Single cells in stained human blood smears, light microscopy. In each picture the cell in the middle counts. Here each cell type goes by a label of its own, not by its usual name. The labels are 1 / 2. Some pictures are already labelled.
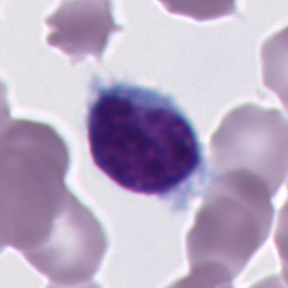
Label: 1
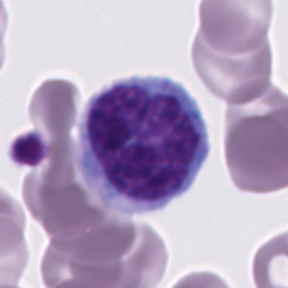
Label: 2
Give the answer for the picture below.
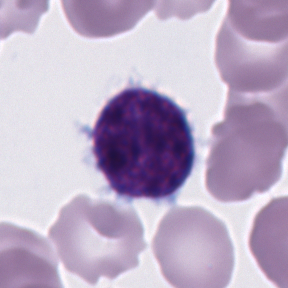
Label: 1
